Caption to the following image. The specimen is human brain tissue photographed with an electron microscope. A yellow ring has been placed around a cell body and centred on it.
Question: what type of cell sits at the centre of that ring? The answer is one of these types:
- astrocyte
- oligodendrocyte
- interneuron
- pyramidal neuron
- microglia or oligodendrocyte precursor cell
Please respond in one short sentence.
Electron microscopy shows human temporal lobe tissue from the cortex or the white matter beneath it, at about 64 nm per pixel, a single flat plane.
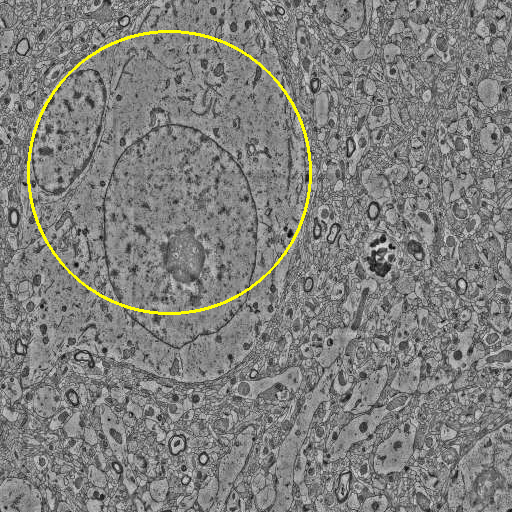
The ring surrounds the cell body of a pyramidal neuron.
